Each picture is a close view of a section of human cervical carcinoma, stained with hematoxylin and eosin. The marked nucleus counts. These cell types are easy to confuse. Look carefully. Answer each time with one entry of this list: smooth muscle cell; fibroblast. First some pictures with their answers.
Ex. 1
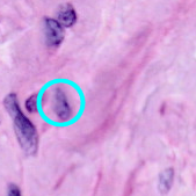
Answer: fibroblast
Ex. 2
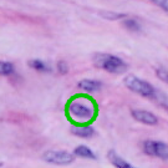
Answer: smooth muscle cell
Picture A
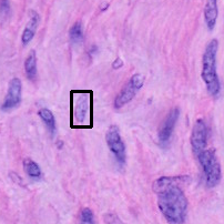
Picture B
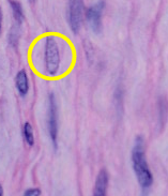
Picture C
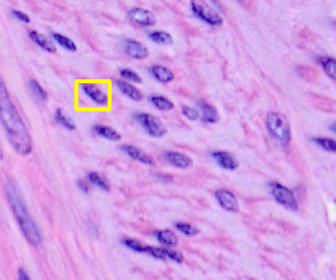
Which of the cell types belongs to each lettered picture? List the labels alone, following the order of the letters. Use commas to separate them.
smooth muscle cell, smooth muscle cell, smooth muscle cell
